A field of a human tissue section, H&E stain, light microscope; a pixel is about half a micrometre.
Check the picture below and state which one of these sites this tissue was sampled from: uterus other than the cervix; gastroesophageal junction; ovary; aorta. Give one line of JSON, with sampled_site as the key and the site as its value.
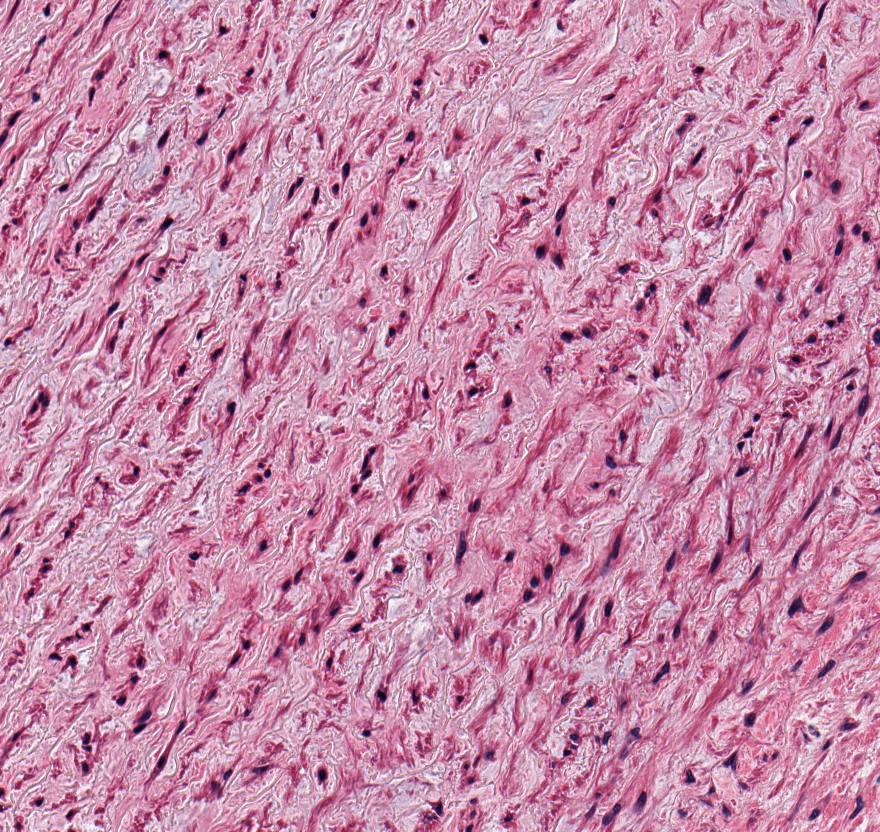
{"sampled_site": "aorta"}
